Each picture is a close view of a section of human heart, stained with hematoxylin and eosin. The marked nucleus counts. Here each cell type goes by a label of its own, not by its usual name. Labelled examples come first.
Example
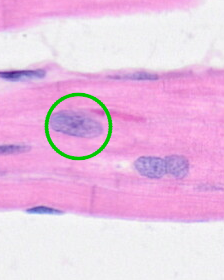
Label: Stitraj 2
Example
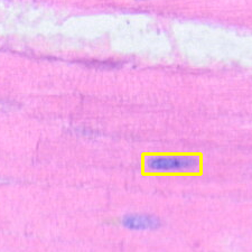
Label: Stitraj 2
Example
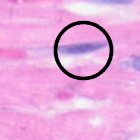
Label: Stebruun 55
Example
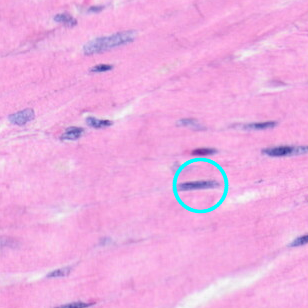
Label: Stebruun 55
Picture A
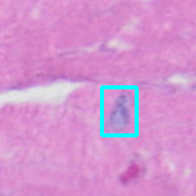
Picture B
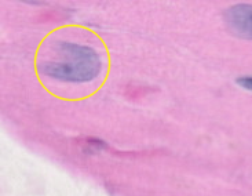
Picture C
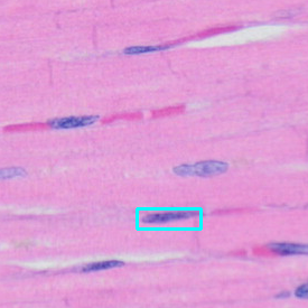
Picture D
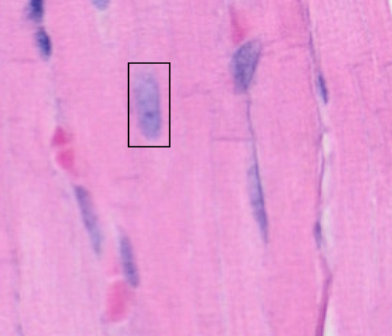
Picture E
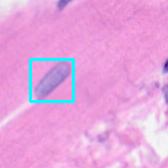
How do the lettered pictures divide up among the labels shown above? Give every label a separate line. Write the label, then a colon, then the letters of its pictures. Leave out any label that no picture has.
Stitraj 2: A, B, D, E
Stebruun 55: C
